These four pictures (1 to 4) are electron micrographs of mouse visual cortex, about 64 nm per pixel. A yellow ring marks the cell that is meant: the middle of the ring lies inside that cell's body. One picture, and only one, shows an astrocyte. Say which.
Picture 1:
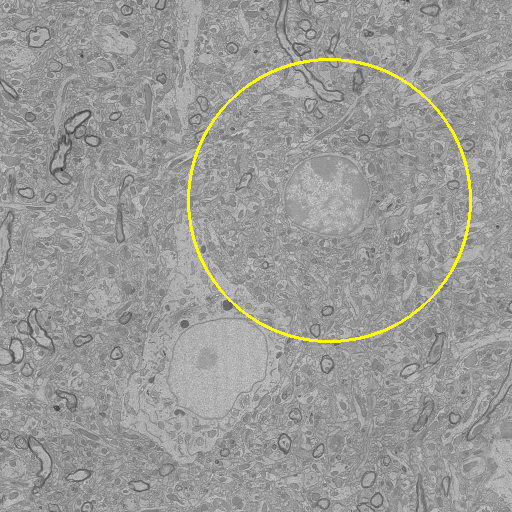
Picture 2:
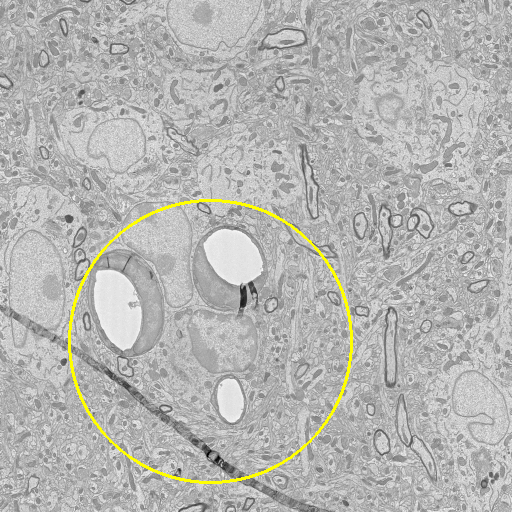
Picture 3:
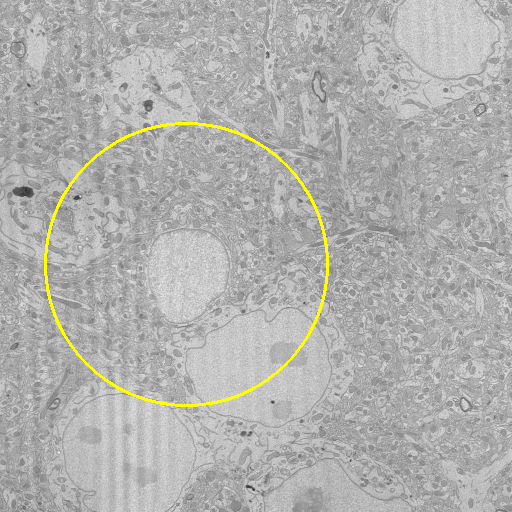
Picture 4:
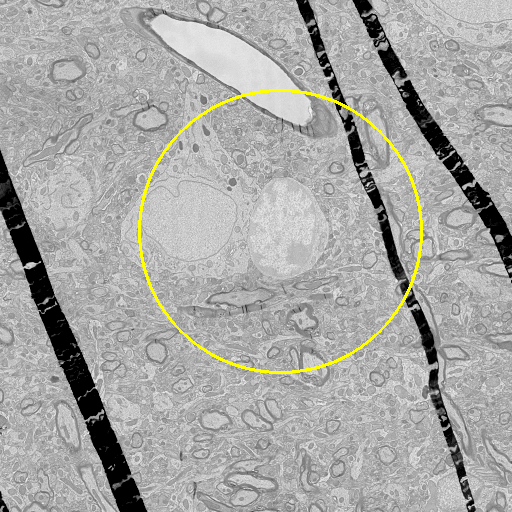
The picture with the astrocyte is 3.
